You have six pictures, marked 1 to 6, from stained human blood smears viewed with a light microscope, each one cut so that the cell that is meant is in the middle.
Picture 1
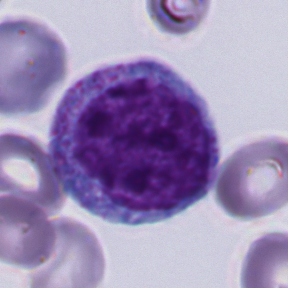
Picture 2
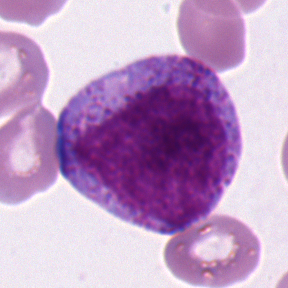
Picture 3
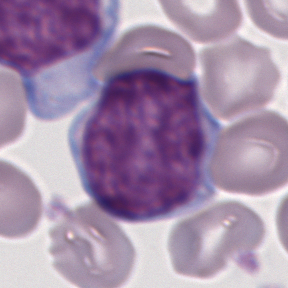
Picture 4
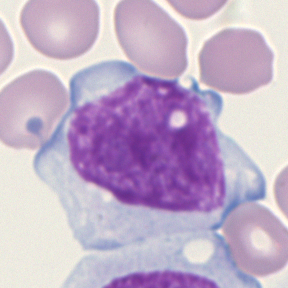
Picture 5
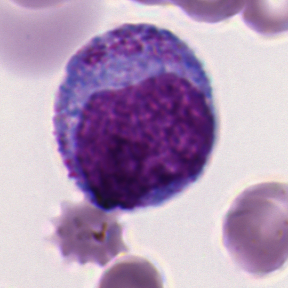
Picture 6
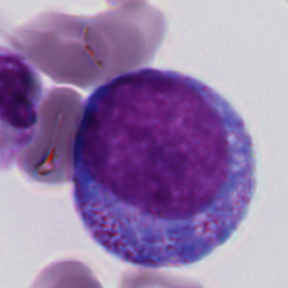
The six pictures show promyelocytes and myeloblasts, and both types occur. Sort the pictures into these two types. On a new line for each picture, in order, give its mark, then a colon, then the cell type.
1: promyelocyte
2: promyelocyte
3: myeloblast
4: myeloblast
5: promyelocyte
6: promyelocyte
